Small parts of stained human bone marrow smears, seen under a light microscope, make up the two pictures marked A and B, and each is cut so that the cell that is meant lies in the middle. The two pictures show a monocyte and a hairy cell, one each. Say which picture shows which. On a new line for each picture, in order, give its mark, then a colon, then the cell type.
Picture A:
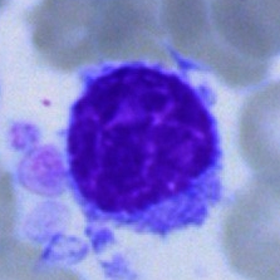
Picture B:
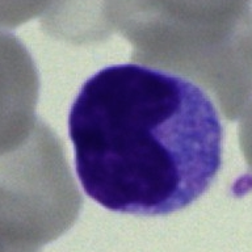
A: hairy cell
B: monocyte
